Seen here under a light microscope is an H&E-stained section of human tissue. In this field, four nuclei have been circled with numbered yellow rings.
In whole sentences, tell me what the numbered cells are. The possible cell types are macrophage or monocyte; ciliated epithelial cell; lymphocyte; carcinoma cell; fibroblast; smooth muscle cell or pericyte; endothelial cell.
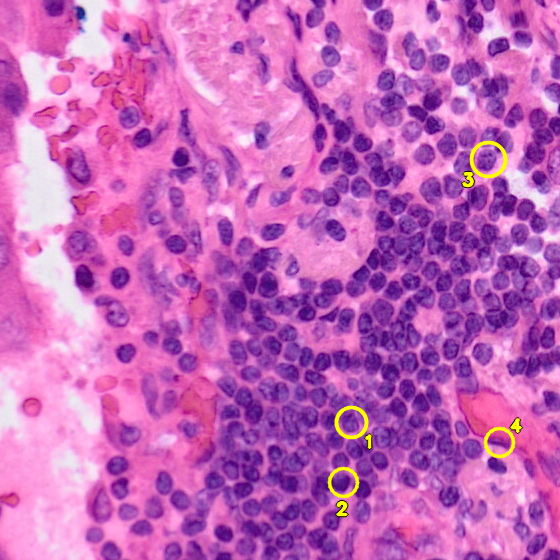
Cells 1, 2 and 3 are lymphocytes. Cell 4 is an endothelial cell.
